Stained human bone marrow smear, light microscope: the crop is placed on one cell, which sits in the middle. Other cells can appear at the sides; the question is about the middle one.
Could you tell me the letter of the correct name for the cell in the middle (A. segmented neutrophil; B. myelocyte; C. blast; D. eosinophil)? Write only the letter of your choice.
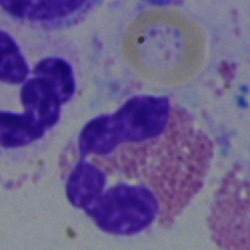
D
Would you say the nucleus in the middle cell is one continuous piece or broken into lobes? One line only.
If you check the nucleus, you will find it split into two or more lobes.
